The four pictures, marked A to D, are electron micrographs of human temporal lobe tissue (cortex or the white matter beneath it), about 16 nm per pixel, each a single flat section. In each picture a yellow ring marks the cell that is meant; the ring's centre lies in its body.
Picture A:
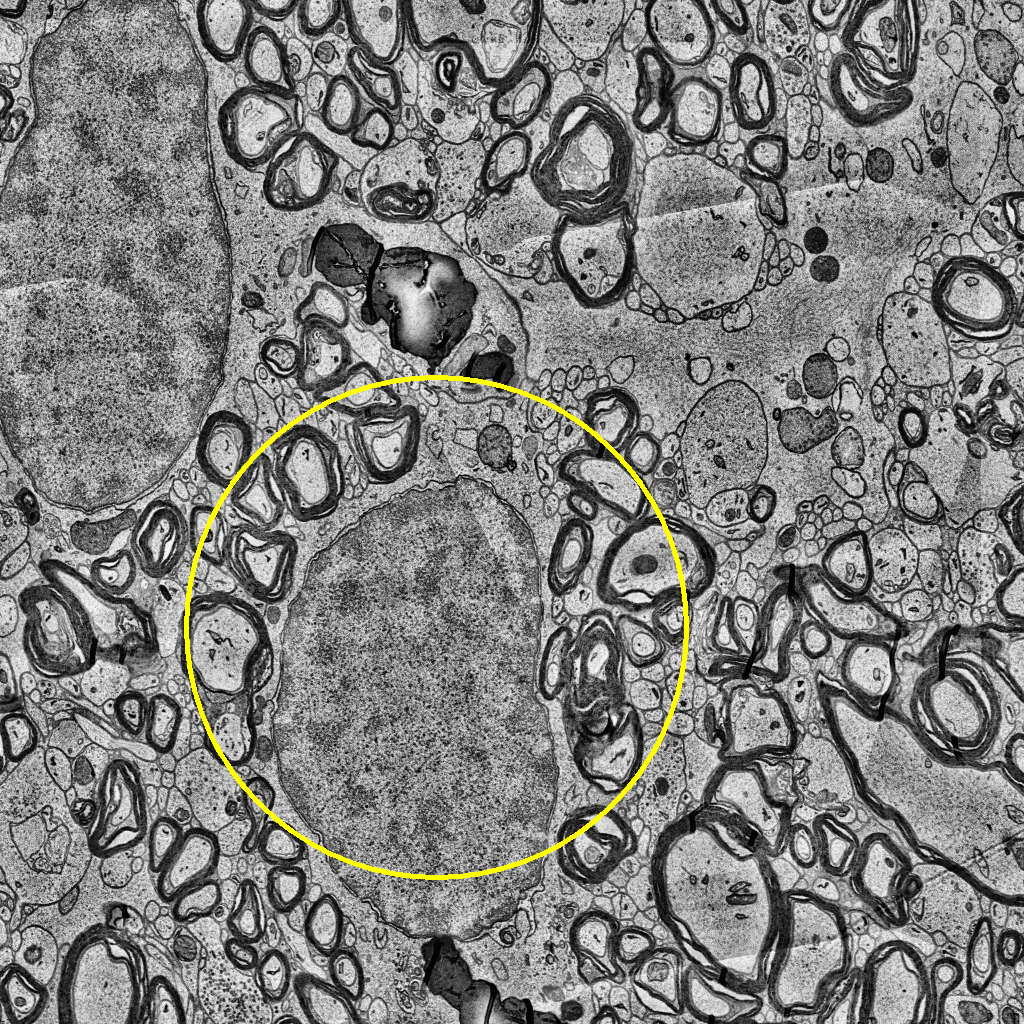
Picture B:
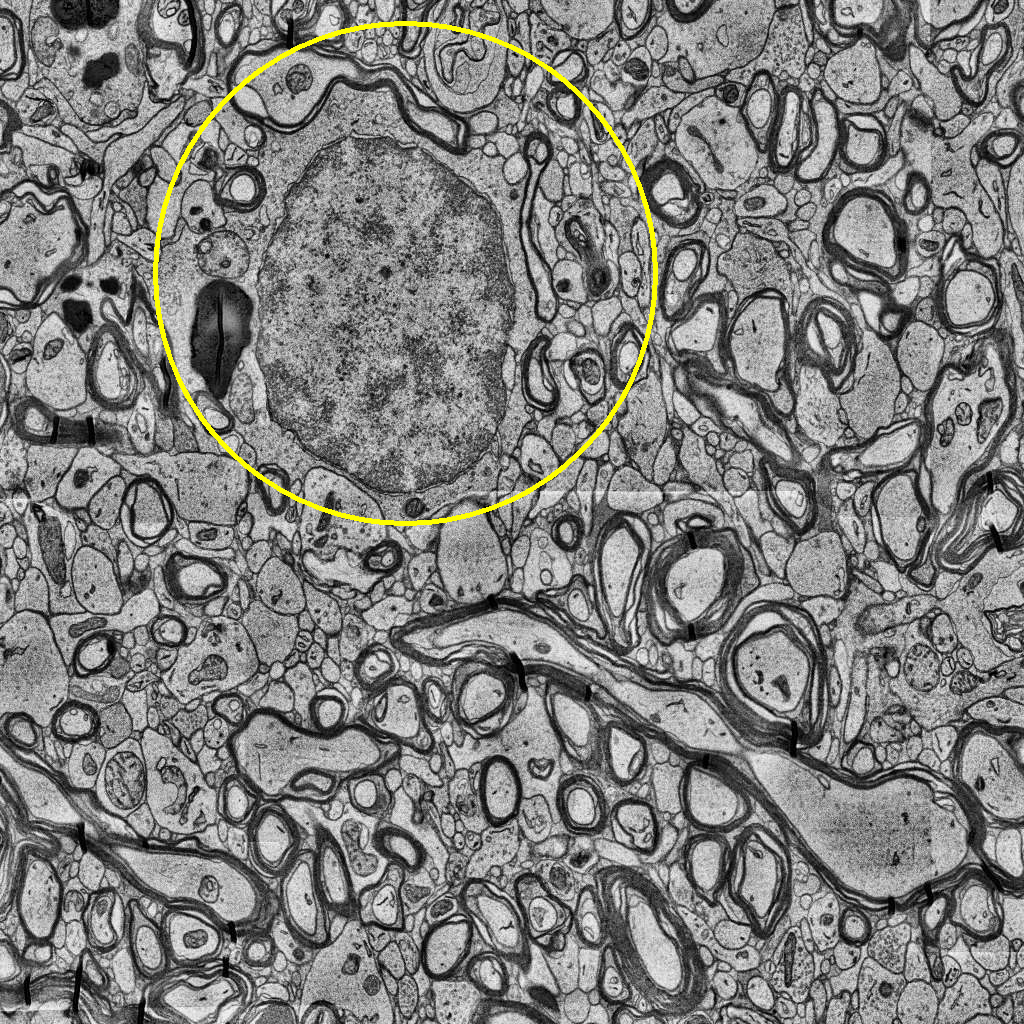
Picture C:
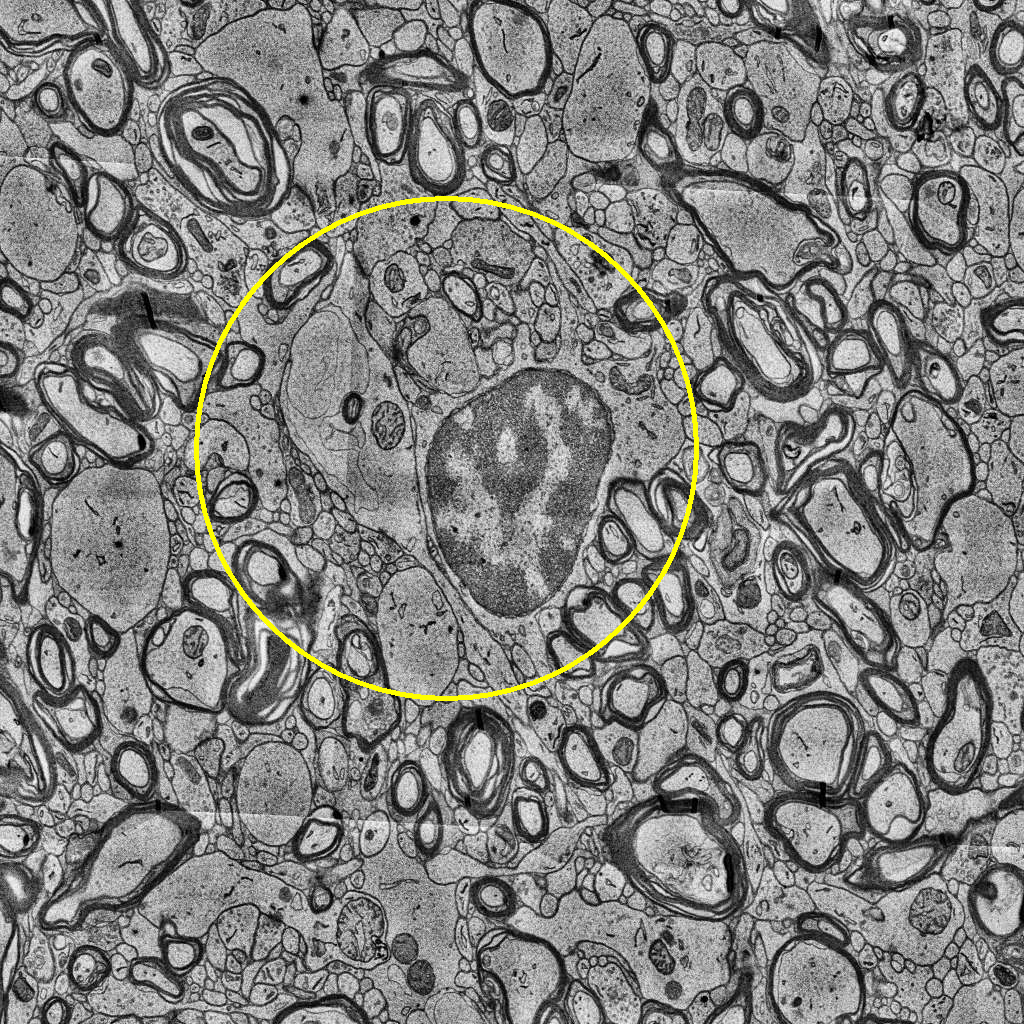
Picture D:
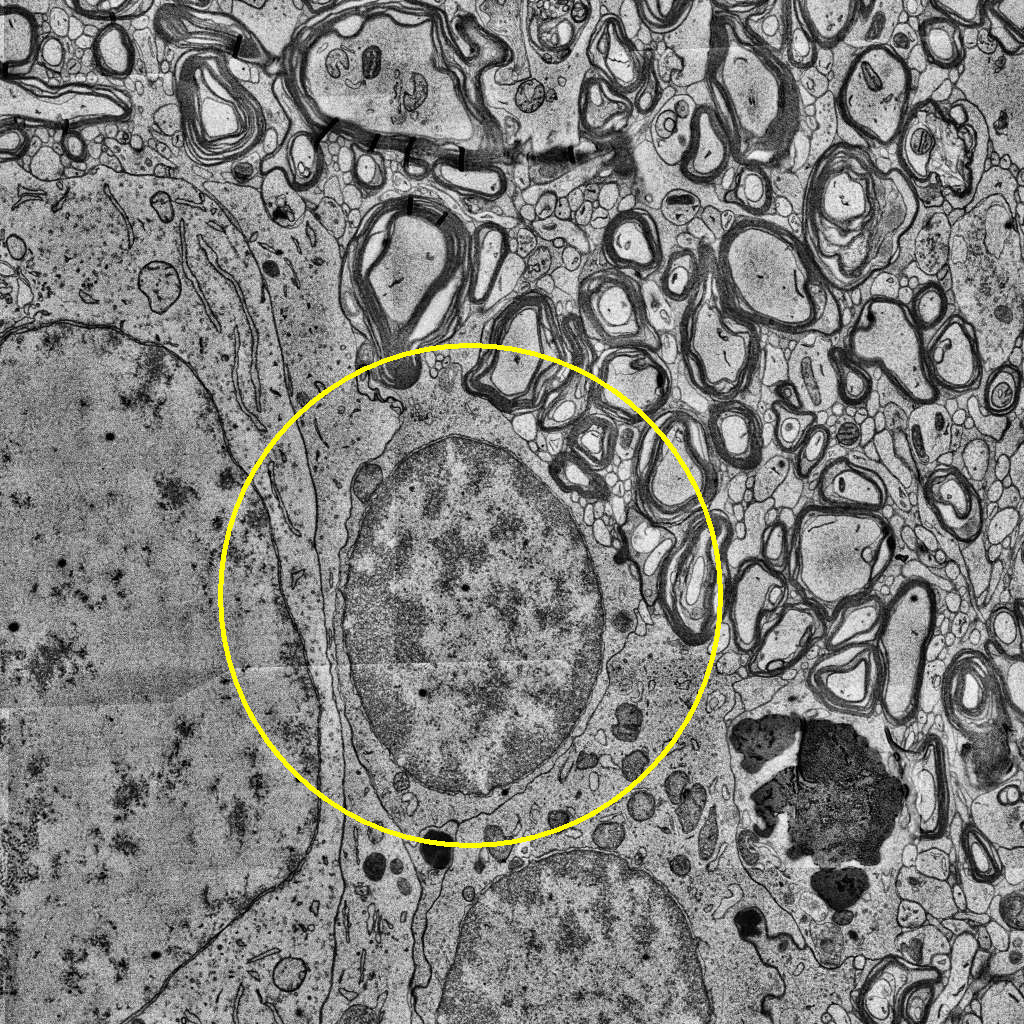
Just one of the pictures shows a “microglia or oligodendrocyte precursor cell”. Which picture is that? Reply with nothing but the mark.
C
